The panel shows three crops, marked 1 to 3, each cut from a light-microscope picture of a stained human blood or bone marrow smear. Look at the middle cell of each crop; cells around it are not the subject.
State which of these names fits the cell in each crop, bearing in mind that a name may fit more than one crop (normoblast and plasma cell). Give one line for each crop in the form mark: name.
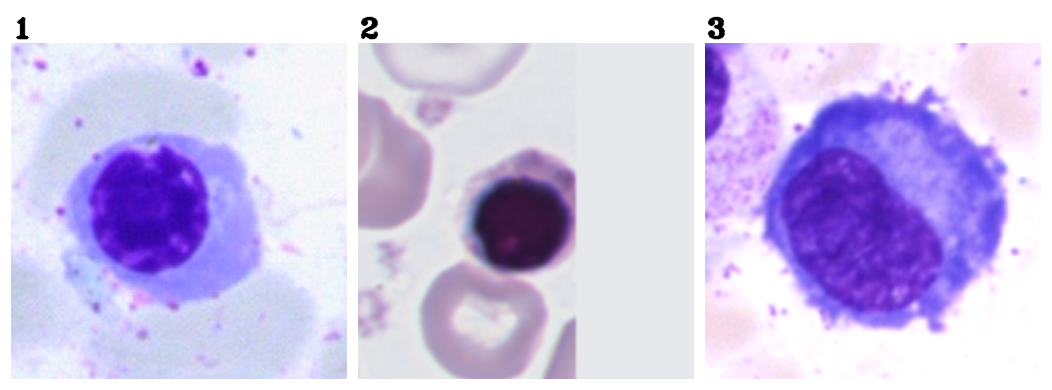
1: normoblast
2: normoblast
3: plasma cell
